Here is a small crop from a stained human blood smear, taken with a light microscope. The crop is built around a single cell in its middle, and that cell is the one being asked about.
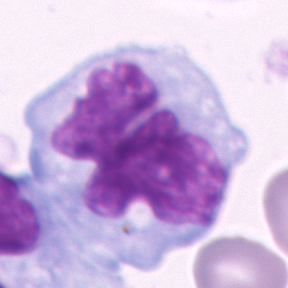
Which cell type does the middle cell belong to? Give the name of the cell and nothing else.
monocyte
